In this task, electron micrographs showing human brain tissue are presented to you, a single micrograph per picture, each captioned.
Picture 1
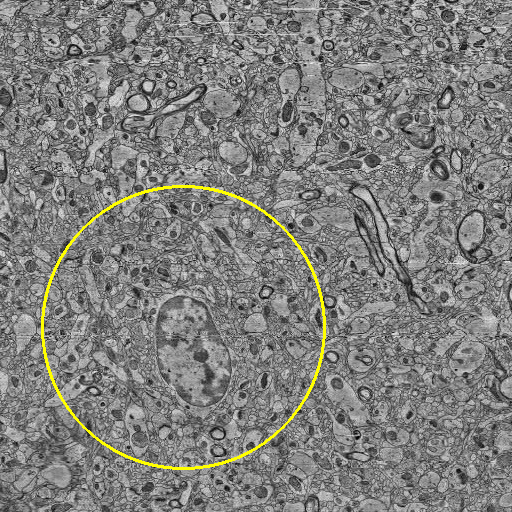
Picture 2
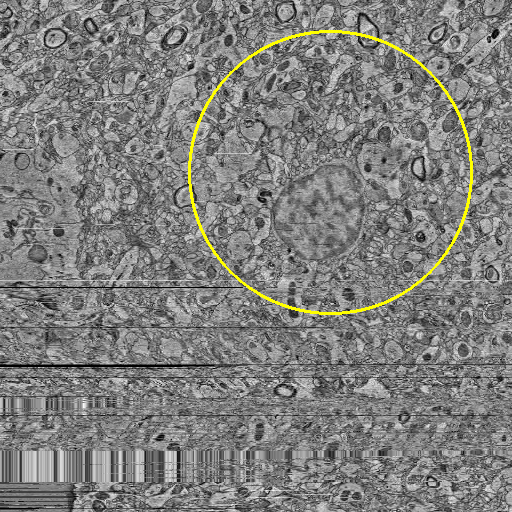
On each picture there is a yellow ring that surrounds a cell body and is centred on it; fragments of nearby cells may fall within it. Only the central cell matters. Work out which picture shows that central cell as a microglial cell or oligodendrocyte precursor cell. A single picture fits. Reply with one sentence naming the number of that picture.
Of all the pictures, number 1 has the right cell in the centre of its ring.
